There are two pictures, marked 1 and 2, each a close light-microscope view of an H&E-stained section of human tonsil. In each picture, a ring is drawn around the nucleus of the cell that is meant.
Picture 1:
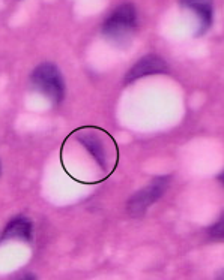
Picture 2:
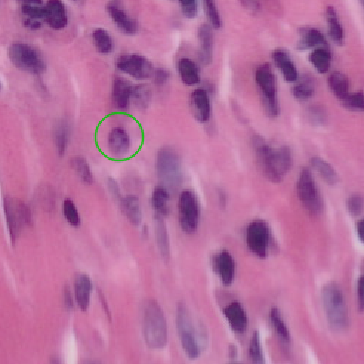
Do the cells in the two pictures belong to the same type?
no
